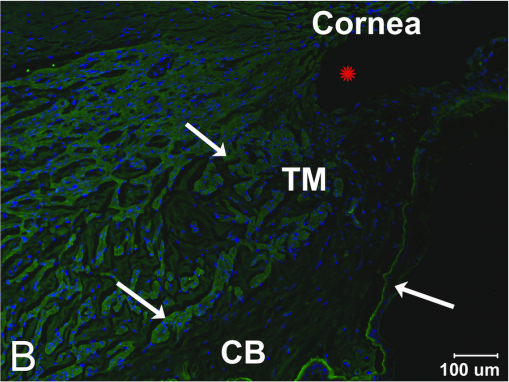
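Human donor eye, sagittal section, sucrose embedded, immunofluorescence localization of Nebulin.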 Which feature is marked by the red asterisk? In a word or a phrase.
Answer: Iridocorneal angle.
